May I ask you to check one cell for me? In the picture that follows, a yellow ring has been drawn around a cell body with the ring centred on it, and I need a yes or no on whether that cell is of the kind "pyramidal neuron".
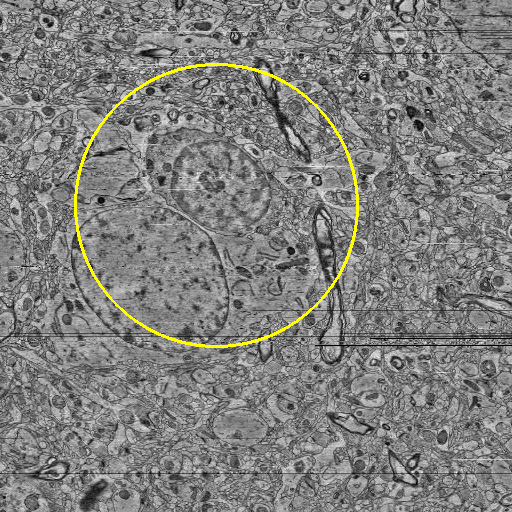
No, it is some other kind of cell.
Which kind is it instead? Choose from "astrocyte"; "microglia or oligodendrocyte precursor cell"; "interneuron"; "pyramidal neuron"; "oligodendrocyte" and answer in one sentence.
That cell in the ring is an oligodendrocyte instead.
